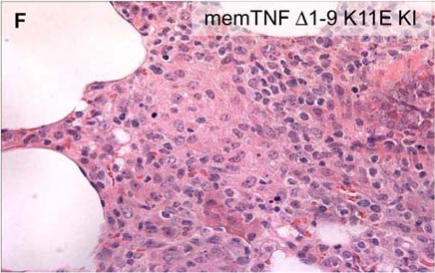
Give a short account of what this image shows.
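Lung tissue with a granuloma fills most of the field, bordered by open air spaces at the left. The granuloma is a solid sheet of cells with abundant pale pink cytoplasm and oval, pale nuclei, packed closely together, with scattered smaller cells with dark round nuclei among them.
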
